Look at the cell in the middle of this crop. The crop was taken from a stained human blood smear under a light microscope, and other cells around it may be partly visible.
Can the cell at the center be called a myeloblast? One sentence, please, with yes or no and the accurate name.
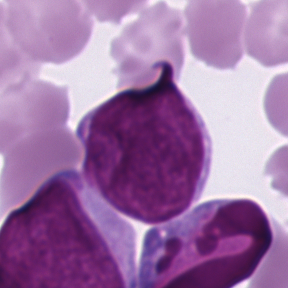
Yes, this central cell is a myeloblast.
